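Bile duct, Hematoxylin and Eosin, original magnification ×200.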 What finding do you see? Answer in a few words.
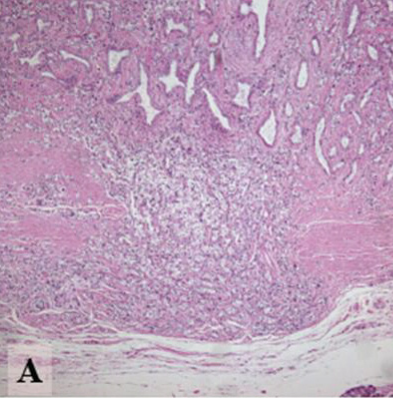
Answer: Tumor cells penetrating the fibromuscular layer.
